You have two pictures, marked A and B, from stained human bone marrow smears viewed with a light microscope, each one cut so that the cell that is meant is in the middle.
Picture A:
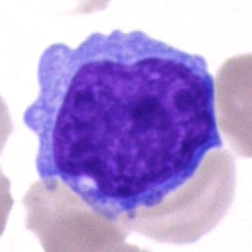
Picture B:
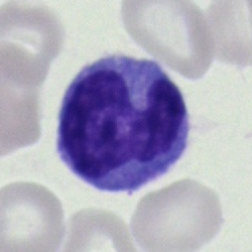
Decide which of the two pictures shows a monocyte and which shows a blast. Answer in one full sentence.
In picture A the cell is a blast; in picture B, a monocyte.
